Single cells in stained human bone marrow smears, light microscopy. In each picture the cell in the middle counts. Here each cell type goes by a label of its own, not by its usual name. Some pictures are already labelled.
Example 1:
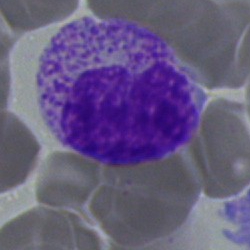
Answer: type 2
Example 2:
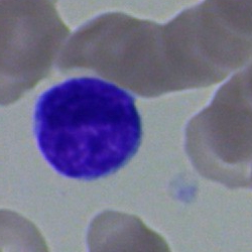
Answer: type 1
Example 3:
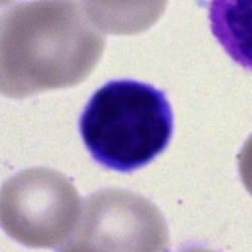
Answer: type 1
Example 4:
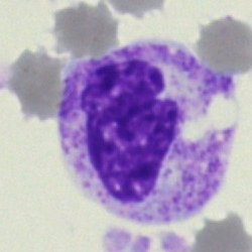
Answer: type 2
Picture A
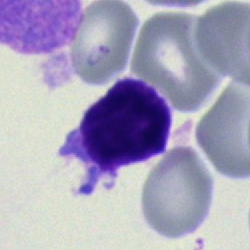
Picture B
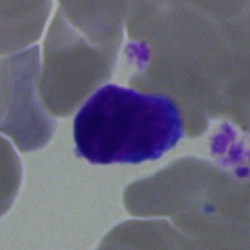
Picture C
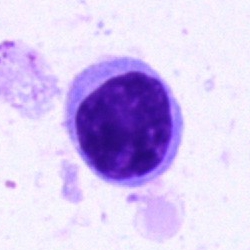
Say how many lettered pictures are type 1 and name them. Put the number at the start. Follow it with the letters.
Count: 3 (A, B, C)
